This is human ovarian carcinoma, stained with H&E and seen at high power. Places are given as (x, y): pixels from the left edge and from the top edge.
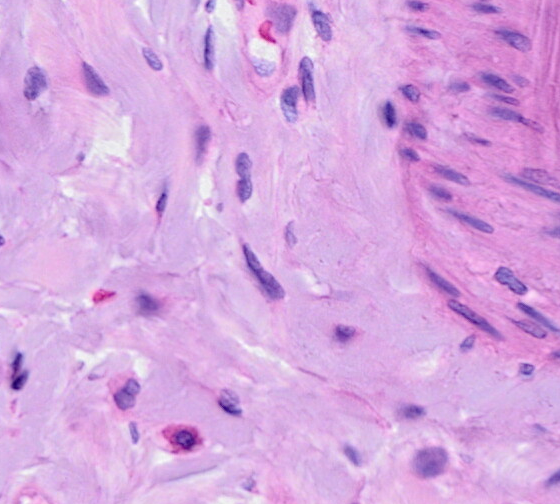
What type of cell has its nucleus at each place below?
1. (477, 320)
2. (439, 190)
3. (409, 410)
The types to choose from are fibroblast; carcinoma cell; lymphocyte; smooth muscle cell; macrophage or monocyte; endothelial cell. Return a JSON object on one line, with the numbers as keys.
{"1": "smooth muscle cell", "2": "smooth muscle cell", "3": "fibroblast"}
